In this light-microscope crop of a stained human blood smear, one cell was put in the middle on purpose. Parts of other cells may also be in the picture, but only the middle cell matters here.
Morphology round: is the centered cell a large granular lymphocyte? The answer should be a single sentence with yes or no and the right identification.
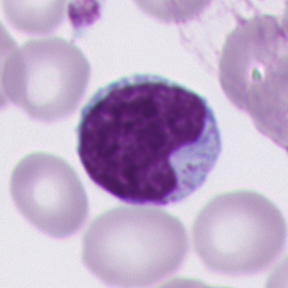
Yes, a large granular lymphocyte is the cell positioned in the middle of the field.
